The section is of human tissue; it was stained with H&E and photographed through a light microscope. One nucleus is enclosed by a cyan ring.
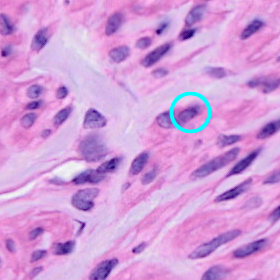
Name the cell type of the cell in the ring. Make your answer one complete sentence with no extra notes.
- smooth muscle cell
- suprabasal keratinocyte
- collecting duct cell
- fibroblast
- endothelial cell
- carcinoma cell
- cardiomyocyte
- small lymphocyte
Typologically, the cell in the ring is a smooth muscle cell in this section.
